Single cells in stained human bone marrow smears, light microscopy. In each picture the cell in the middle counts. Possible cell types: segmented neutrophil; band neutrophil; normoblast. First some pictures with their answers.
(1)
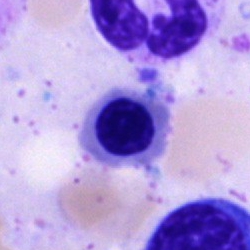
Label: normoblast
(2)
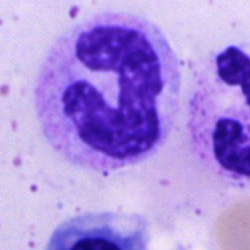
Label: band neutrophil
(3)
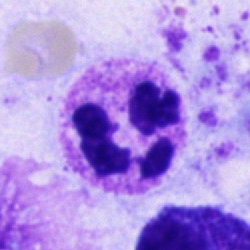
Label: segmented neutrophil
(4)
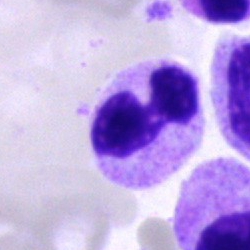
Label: segmented neutrophil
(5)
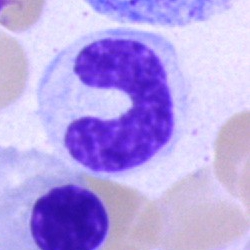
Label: band neutrophil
